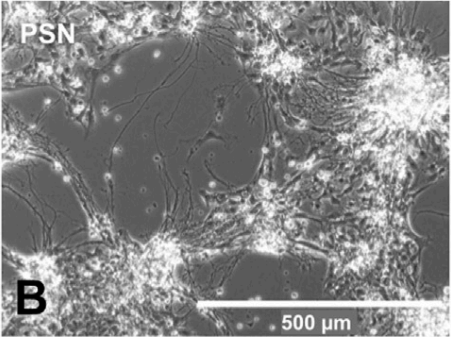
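Cultured neurons are gathered into dense, bright clusters of rounded cell bodies separated by wide, mostly empty areas of the dish. Long, thin, unbranched or sparsely branched processes (neurites) leave the clusters and run across the empty areas, connecting one cluster to another. Near some clusters, flatter spindle-shaped cells lie spread on the surface, and a few small rounded bright cells lie isolated.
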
